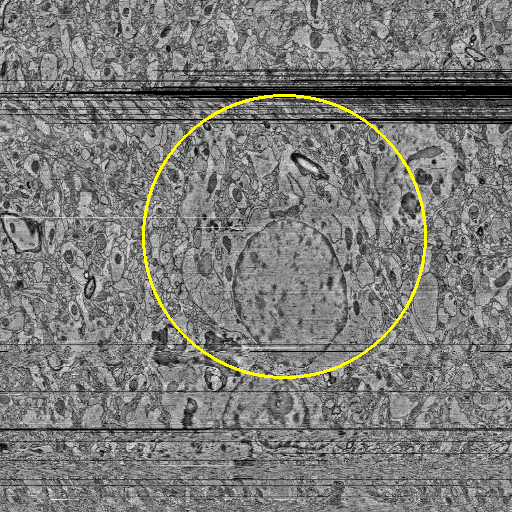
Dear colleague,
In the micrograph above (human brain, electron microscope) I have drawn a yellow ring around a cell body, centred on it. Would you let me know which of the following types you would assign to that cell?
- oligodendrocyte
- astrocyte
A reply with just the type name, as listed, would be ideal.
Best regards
astrocyte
